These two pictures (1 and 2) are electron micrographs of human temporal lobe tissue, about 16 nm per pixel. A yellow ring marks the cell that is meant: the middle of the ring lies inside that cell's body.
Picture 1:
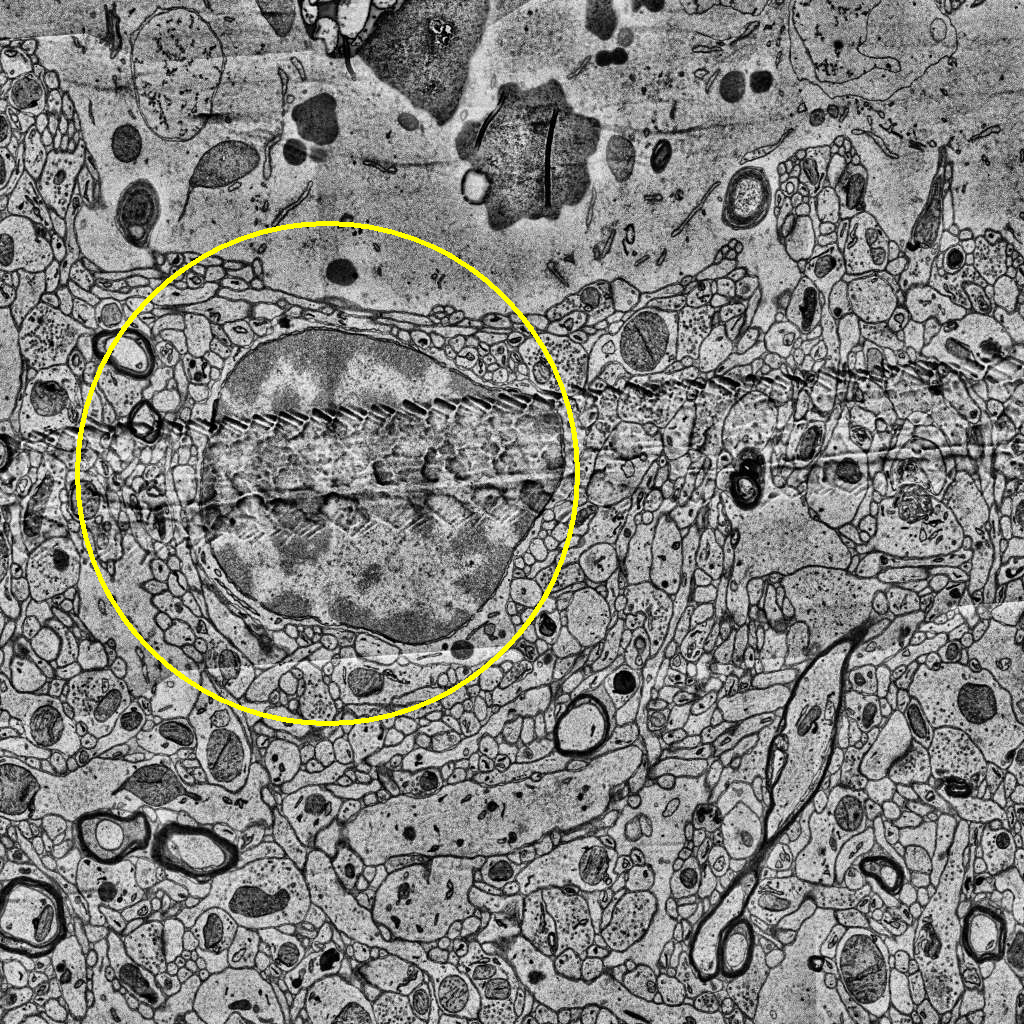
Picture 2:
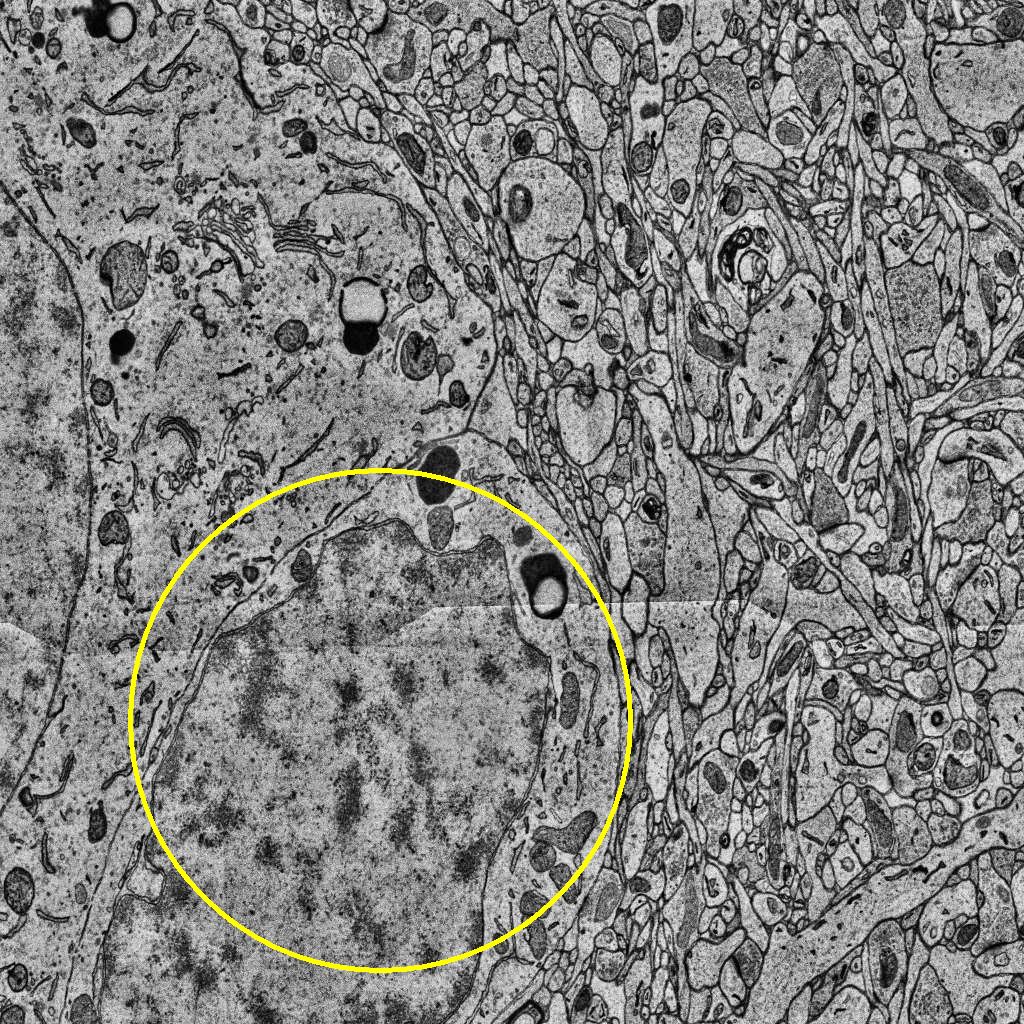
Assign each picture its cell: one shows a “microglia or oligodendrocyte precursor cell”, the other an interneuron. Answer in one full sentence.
The cell in picture 1 is a “microglia or oligodendrocyte precursor cell”, and the one in picture 2 is an interneuron.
